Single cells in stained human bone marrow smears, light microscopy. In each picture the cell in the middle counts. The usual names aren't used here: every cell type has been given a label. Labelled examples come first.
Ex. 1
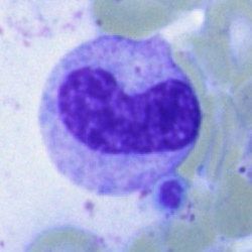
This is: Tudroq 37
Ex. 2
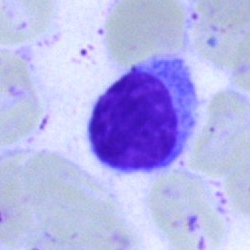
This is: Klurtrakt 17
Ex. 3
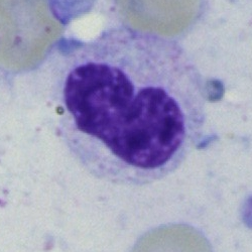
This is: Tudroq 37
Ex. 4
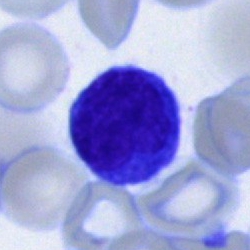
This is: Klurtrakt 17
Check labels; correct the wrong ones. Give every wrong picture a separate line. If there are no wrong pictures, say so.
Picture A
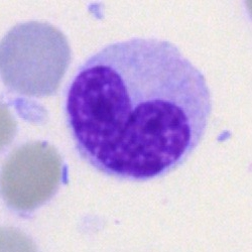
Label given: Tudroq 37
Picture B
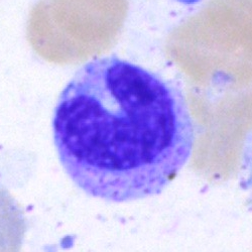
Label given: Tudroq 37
Nothing to fix; every label fits.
